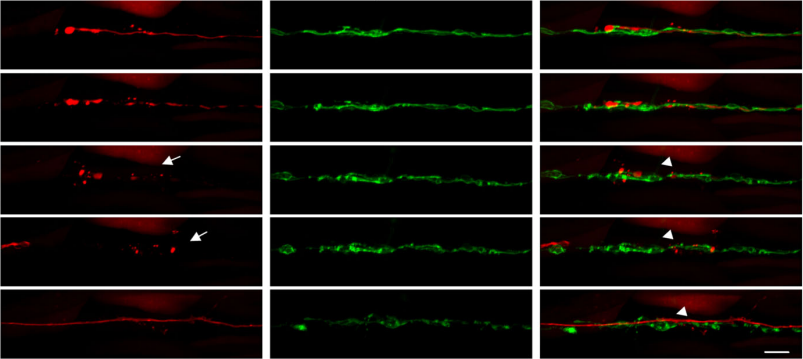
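Through the rows the red axon breaks up into beads and scattered fragments while the green sheath becomes knotted and granular. In the last row a thin, continuous red fibre again runs along the length of the nerve beside the broken-up green sheath.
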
